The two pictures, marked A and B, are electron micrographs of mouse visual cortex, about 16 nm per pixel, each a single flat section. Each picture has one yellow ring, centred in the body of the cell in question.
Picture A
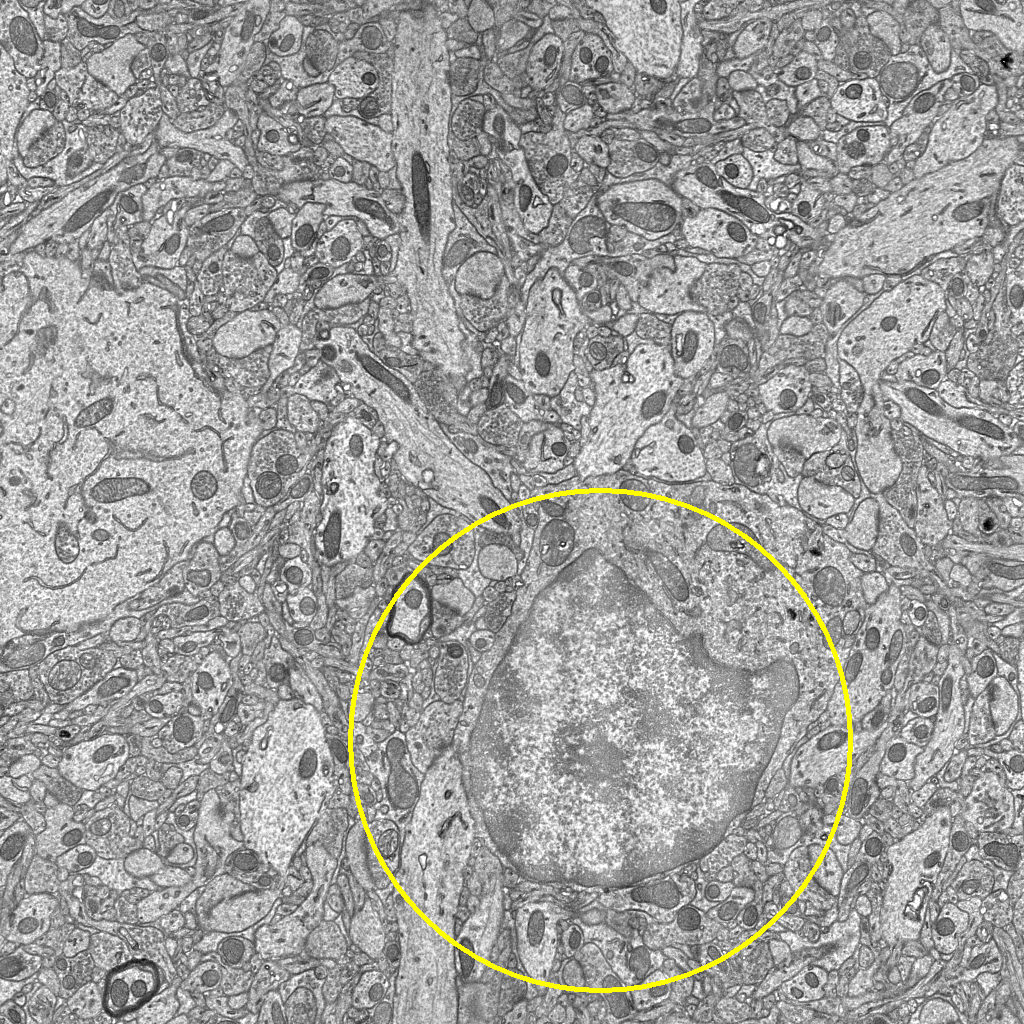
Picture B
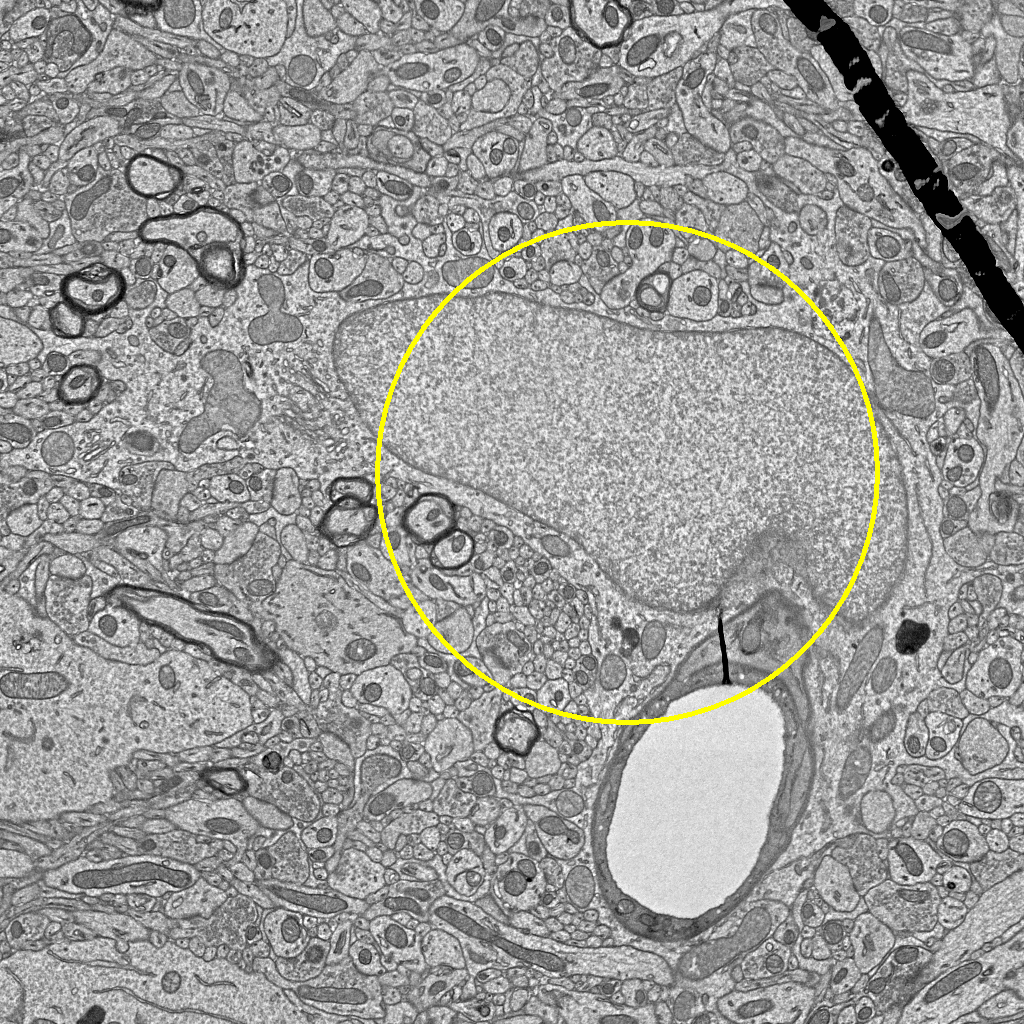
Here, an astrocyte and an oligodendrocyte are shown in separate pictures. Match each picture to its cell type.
It is picture A that shows an oligodendrocyte, and picture B that shows an astrocyte.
